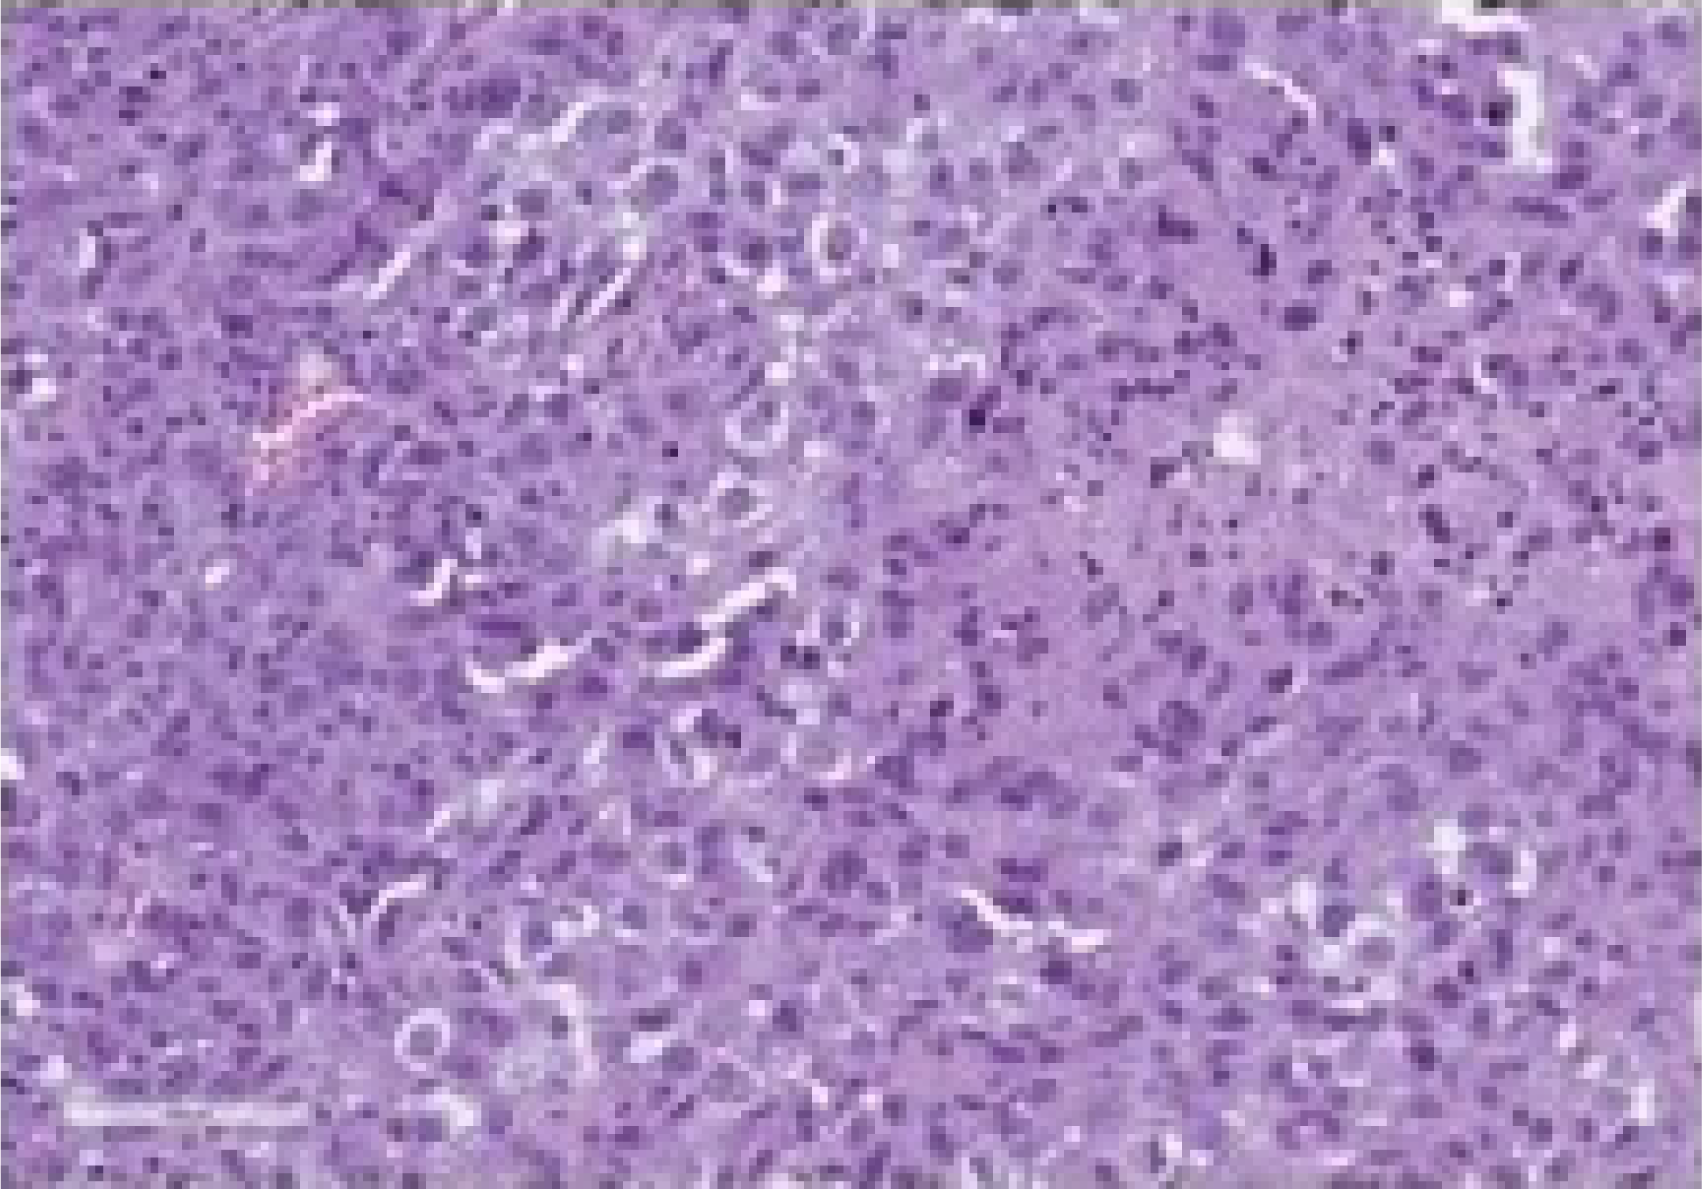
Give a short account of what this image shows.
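This is a solid tumor made of sheets of atypical tumor cells with pale pink-purple cytoplasm and poorly defined cell borders. The nuclei vary considerably in size and shape, and many are dark purple and hyperchromatic. Scattered small clear spaces and cleft-like gaps break up the sheets, particularly in the upper centre and right of the field. A few small pink-red streaks, likely red blood cells, are seen at the upper left.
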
